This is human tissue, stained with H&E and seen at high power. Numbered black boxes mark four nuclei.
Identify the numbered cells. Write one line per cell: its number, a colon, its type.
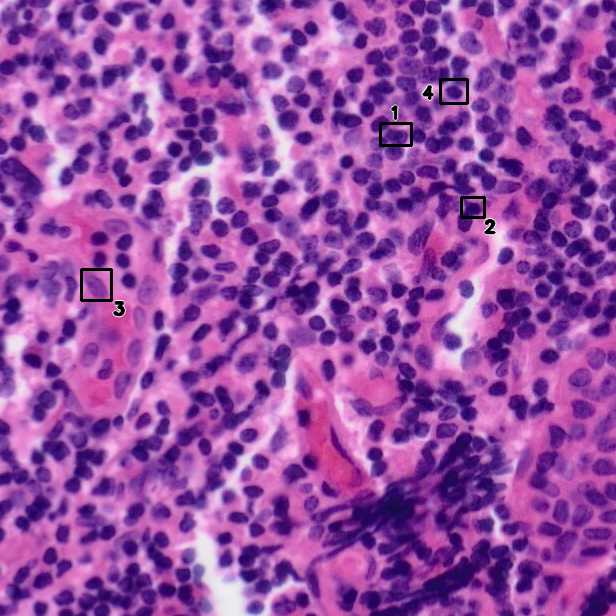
1: small lymphocyte
2: small lymphocyte
3: endothelial cell
4: small lymphocyte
